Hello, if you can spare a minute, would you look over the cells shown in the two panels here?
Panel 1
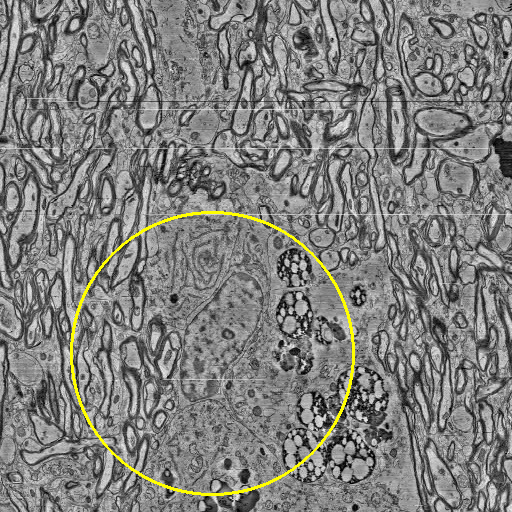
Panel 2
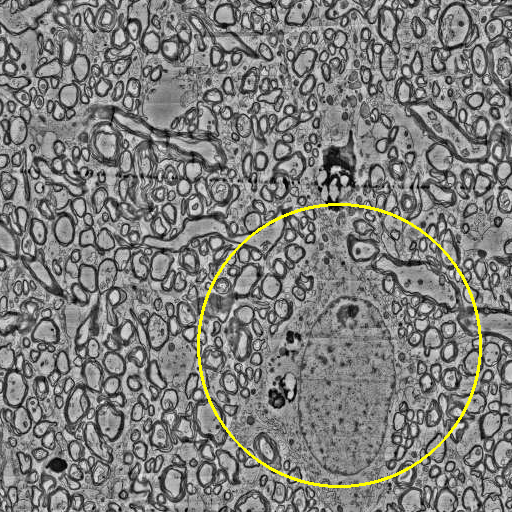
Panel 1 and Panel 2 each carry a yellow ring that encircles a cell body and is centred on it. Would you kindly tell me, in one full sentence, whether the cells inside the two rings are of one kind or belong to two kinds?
The cells at the centres of the rings in Panel 1 and Panel 2 belong to two kinds.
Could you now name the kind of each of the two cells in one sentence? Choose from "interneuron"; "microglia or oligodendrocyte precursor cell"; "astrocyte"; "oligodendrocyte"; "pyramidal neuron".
The first ring encloses a microglial cell or oligodendrocyte precursor cell; the second ring encloses an astrocyte.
